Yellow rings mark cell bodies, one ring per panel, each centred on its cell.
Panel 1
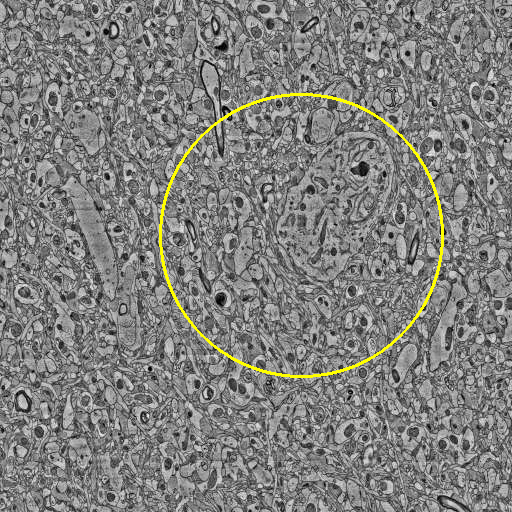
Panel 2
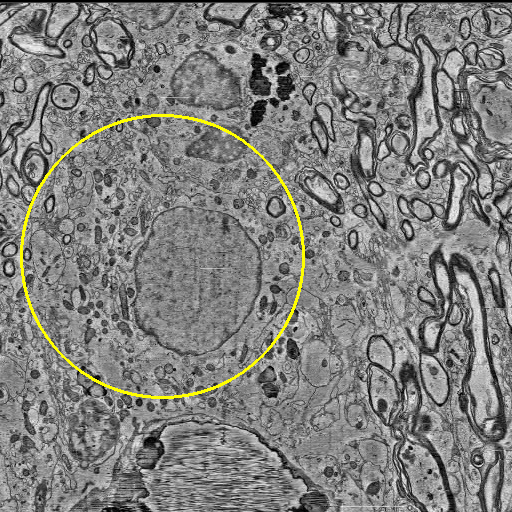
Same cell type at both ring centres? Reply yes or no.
no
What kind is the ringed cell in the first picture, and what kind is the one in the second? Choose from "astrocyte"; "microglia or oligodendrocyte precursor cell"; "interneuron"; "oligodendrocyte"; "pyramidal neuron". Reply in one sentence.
The first cell is an interneuron; the second is an astrocyte.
